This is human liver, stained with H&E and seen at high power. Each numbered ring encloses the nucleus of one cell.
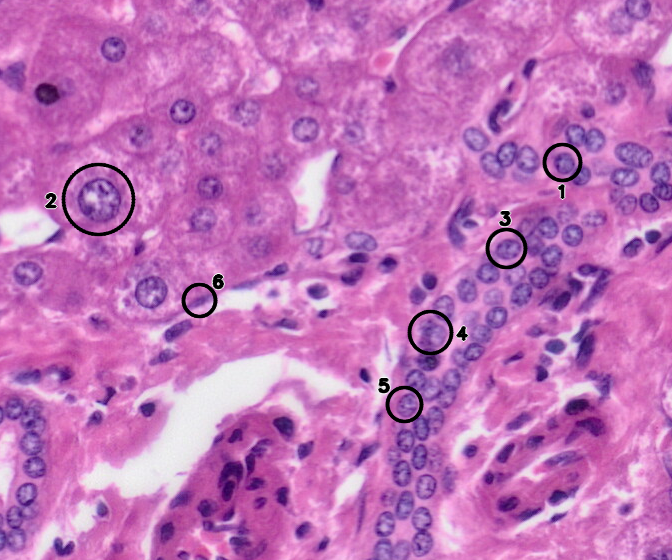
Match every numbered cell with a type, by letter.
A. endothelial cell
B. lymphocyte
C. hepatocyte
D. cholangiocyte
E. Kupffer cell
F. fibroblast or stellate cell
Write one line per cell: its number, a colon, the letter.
1: D
2: C
3: D
4: D
5: D
6: F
